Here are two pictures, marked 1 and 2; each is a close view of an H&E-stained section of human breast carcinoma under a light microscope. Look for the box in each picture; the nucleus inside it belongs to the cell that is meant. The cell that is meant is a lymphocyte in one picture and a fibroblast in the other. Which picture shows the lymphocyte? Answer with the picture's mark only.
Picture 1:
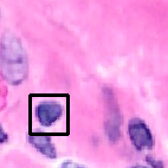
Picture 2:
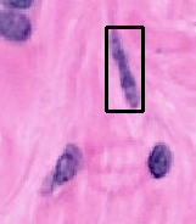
1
